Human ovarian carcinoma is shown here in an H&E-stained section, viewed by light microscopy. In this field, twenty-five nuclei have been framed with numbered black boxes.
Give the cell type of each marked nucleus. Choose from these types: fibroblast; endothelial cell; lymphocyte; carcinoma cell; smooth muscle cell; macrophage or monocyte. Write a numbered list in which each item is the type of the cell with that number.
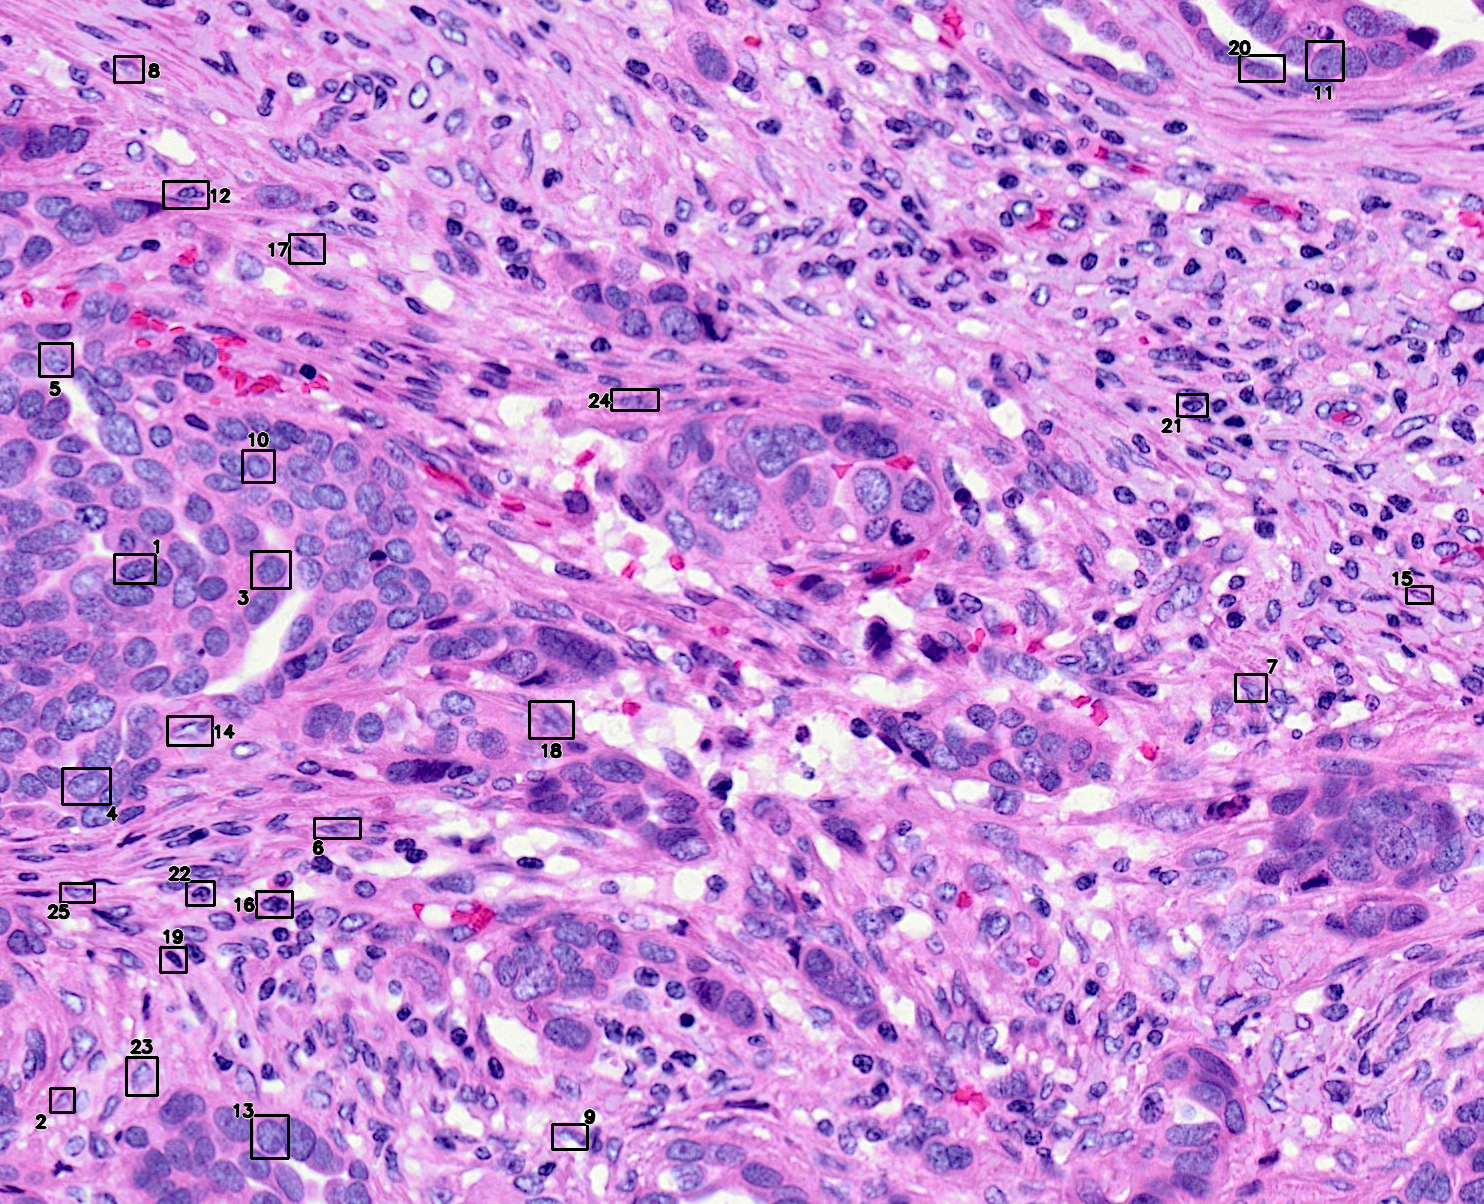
1. carcinoma cell
2. fibroblast
3. carcinoma cell
4. carcinoma cell
5. carcinoma cell
6. fibroblast
7. fibroblast
8. fibroblast
9. fibroblast
10. carcinoma cell
11. carcinoma cell
12. fibroblast
13. carcinoma cell
14. fibroblast
15. fibroblast
16. lymphocyte
17. fibroblast
18. fibroblast
19. lymphocyte
20. carcinoma cell
21. lymphocyte
22. lymphocyte
23. fibroblast
24. fibroblast
25. fibroblast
